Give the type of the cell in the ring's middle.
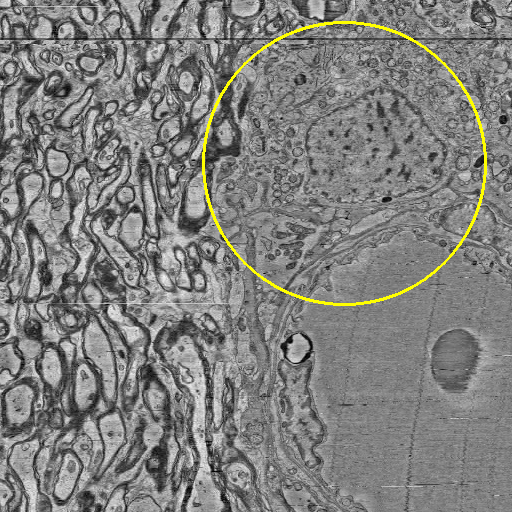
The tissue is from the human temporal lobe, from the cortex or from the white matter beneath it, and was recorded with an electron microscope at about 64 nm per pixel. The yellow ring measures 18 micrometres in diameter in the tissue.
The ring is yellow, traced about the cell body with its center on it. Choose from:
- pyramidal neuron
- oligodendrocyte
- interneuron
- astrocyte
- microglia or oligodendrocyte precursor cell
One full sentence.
Here, an astrocyte is the cell lying at the center of the yellow ring.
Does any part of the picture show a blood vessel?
Yes, the image shows a blood vessel.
